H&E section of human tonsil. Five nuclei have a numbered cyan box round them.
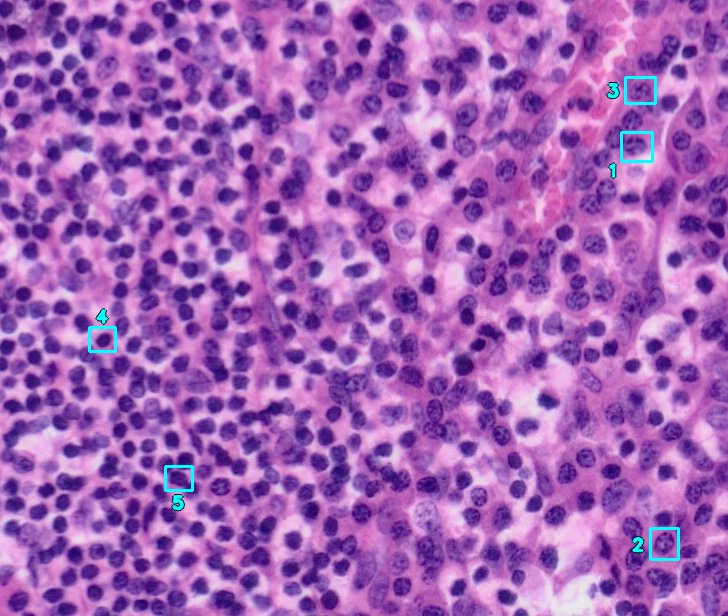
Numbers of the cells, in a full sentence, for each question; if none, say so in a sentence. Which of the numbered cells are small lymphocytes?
Marked by the numbers 4 and 5 are cells that are small lymphocytes.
